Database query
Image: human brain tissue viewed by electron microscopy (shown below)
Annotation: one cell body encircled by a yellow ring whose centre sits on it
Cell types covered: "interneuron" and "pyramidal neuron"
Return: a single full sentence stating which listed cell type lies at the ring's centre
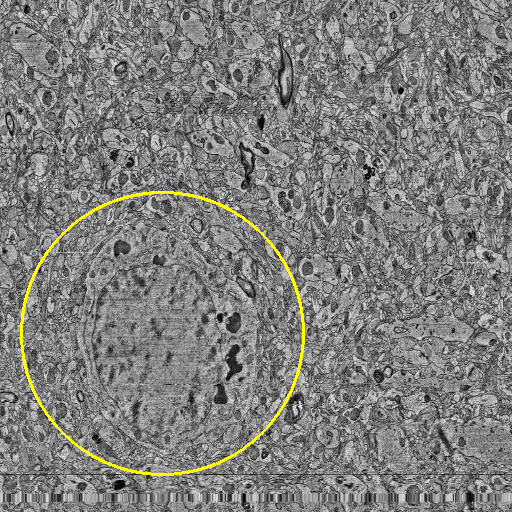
In the image, the cell lying at the ring's centre is an interneuron.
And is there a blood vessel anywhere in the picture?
No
